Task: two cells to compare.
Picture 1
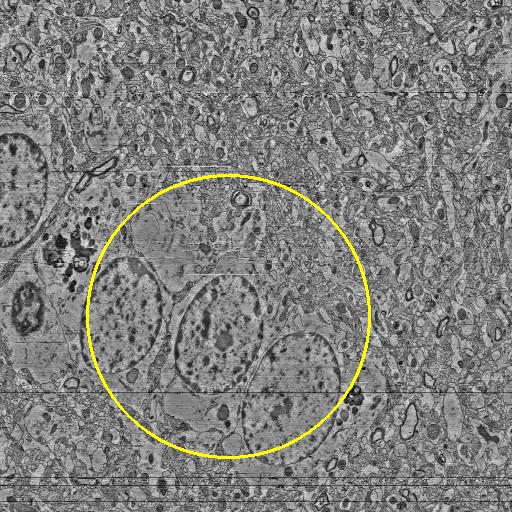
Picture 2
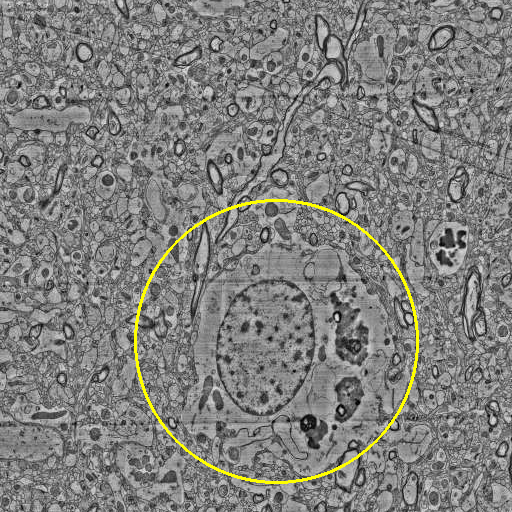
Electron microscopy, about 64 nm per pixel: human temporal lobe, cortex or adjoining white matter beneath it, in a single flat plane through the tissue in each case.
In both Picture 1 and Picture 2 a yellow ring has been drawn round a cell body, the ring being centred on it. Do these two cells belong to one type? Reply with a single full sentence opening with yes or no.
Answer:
Yes, the two cells at the ring centres in Picture 1 and Picture 2 share one type.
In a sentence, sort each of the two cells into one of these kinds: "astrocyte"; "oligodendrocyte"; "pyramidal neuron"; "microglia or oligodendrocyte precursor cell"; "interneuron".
Both cells are the same kind, each one being an astrocyte.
